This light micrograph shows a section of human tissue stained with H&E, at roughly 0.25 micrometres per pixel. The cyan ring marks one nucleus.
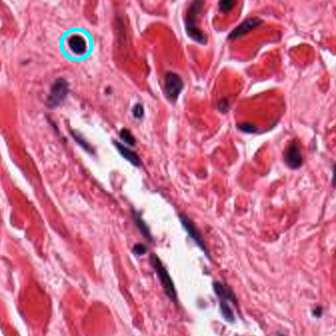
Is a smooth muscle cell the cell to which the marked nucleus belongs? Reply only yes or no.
no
